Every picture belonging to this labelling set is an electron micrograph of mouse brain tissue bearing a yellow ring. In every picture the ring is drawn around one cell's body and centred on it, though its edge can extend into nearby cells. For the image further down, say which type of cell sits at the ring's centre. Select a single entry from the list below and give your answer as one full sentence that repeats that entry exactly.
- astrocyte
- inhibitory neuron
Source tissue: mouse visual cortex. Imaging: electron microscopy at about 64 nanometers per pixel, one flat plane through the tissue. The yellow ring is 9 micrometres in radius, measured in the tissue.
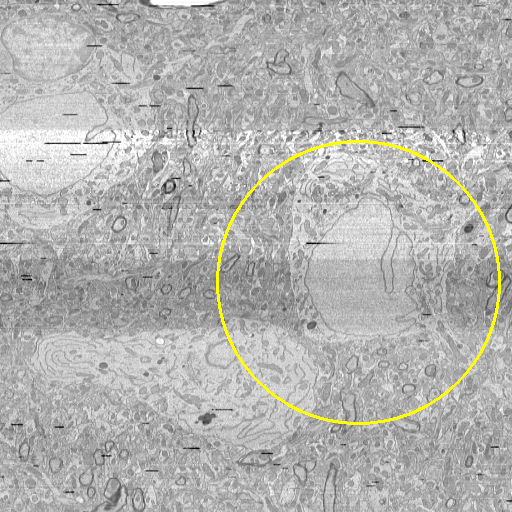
In the picture, an inhibitory neuron is the cell at the centre of the yellow ring.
